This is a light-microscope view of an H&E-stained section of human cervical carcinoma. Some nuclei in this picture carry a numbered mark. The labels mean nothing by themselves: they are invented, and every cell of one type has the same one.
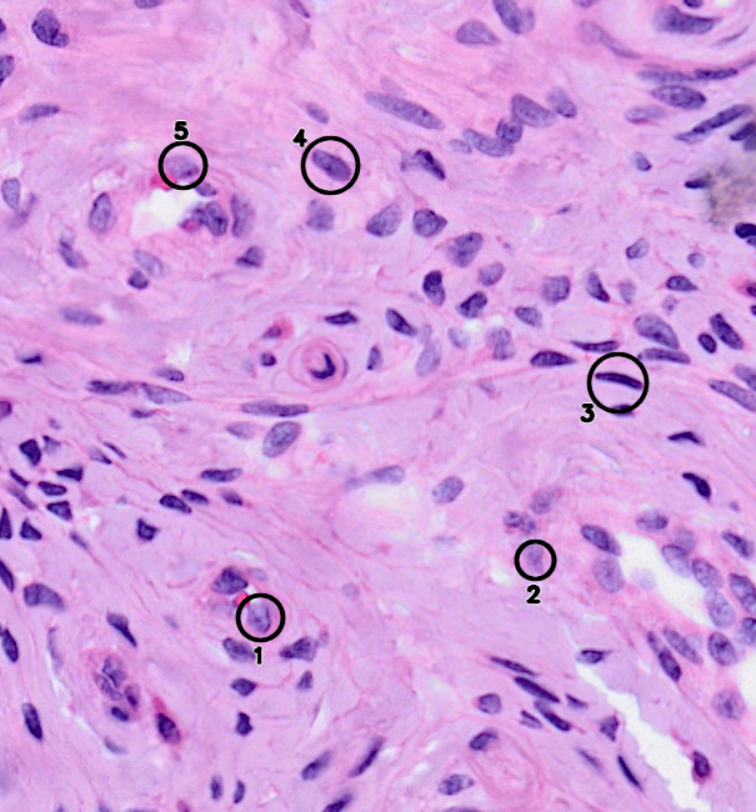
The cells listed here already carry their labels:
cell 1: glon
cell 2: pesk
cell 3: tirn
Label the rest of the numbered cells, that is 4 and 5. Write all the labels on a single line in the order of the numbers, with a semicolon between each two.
tirn; glon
